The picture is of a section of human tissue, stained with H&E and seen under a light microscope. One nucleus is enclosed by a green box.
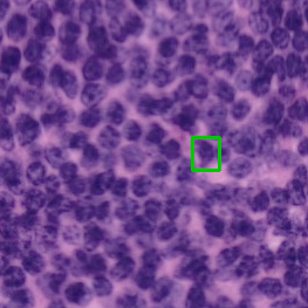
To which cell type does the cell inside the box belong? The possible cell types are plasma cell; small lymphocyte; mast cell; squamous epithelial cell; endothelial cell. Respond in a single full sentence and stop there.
To be brief about it, the cell inside the box is a small lymphocyte.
